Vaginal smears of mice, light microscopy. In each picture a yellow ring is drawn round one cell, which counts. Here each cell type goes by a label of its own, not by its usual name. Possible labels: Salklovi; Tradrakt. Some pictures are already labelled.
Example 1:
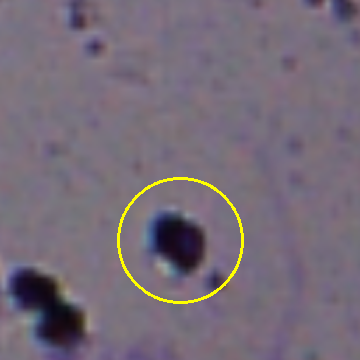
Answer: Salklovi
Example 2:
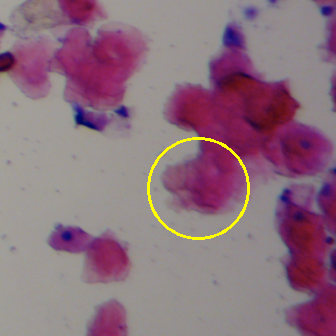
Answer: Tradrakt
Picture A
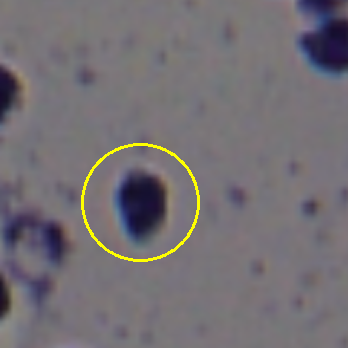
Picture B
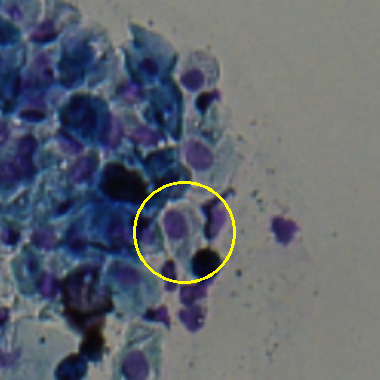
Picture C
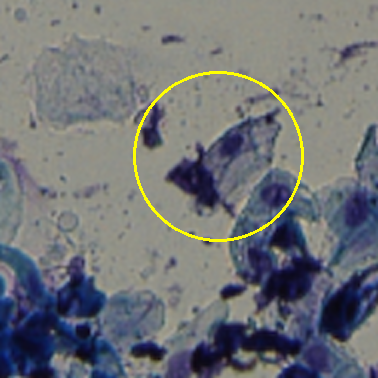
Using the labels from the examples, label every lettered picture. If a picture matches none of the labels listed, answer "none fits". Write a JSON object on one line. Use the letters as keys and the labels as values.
{"A": "Salklovi", "B": "none fits", "C": "none fits"}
